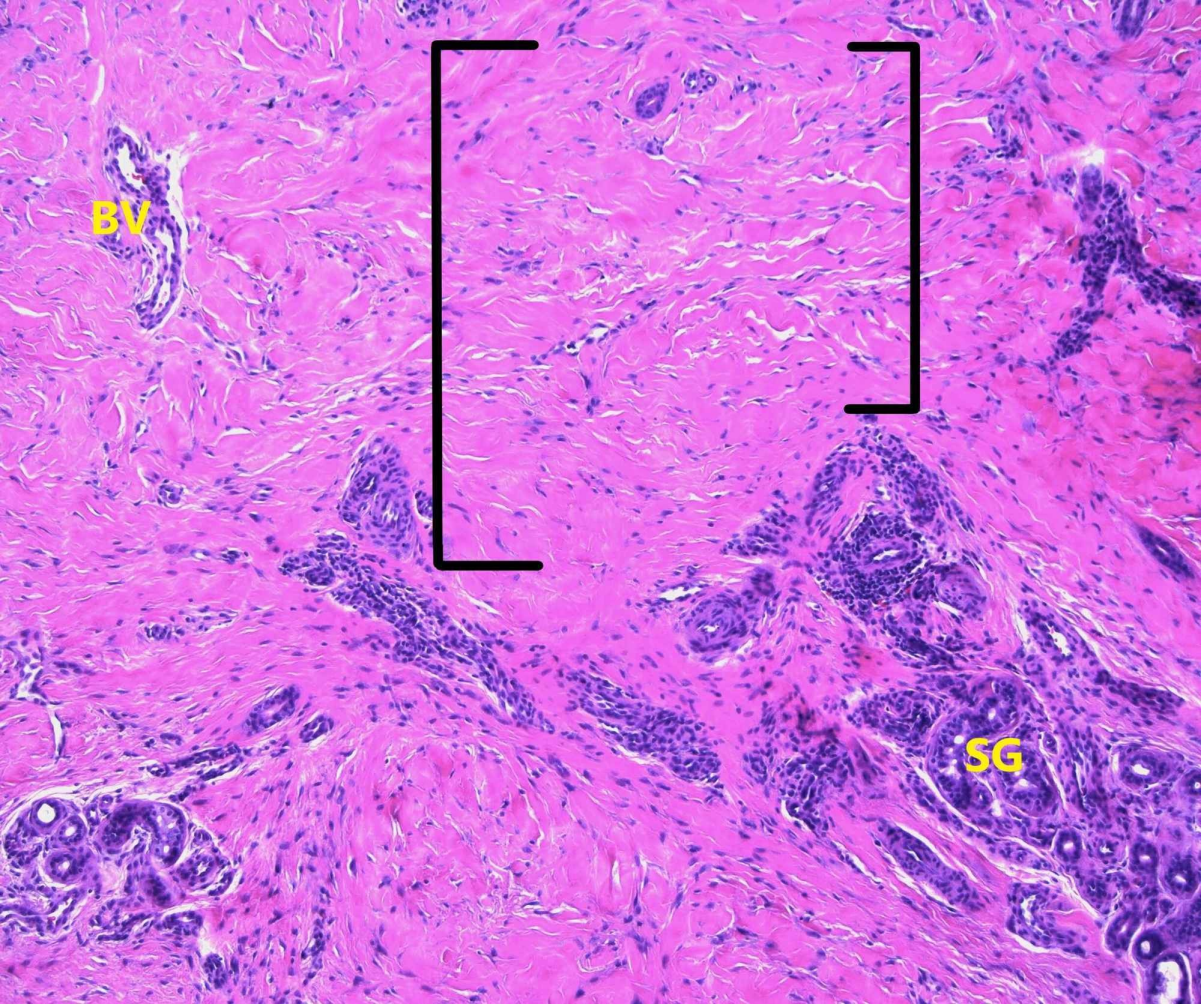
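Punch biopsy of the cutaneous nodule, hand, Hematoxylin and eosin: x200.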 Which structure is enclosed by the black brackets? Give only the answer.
Dense collagen fibrils.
